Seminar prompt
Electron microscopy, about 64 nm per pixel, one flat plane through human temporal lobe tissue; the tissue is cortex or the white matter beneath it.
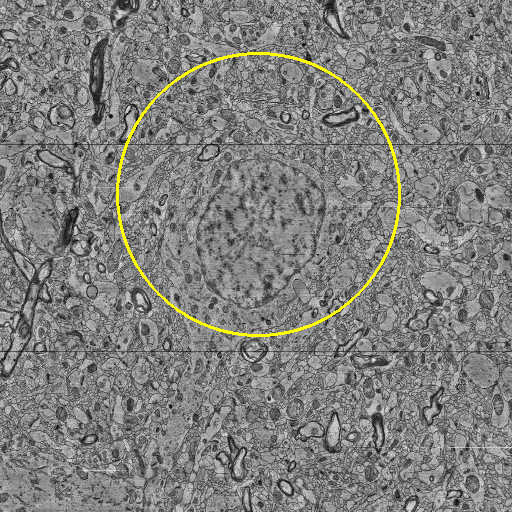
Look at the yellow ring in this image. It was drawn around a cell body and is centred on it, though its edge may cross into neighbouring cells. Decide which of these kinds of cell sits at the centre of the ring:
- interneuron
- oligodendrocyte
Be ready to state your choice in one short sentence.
The kind of cell at the ring's centre is an interneuron.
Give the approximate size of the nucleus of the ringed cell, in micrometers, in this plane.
Roughly 10 by 8 micrometres in this plane, for the nucleus of the ringed cell.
